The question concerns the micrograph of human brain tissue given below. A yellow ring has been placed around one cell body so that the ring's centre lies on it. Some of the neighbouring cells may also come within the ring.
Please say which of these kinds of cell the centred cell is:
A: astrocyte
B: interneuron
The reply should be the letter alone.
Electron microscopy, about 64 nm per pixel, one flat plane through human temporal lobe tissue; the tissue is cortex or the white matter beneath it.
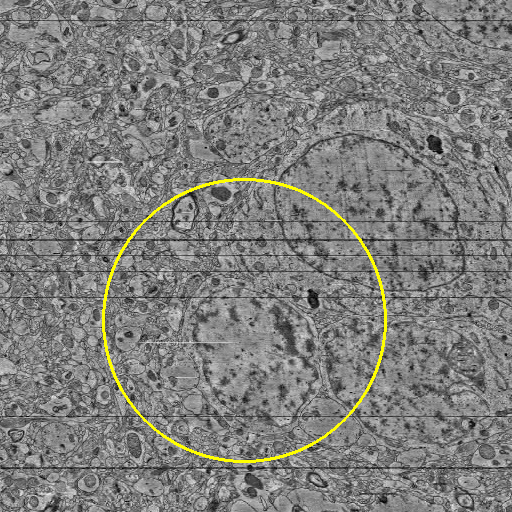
B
